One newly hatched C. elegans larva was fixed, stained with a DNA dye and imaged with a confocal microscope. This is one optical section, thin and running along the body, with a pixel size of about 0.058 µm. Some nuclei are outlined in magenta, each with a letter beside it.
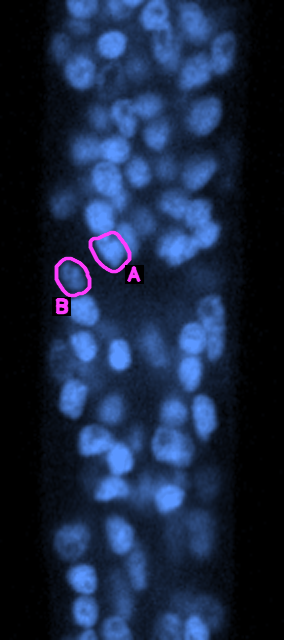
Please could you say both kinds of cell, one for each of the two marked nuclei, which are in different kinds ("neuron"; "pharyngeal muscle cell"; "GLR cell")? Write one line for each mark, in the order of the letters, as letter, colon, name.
A: GLR cell
B: neuron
